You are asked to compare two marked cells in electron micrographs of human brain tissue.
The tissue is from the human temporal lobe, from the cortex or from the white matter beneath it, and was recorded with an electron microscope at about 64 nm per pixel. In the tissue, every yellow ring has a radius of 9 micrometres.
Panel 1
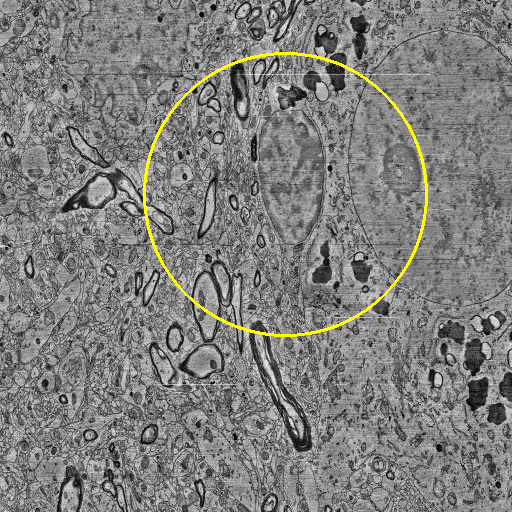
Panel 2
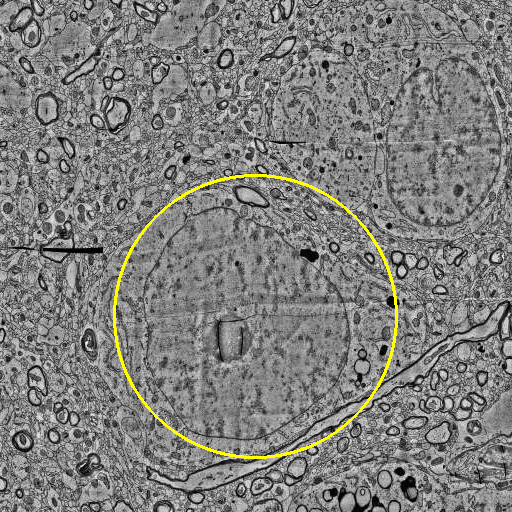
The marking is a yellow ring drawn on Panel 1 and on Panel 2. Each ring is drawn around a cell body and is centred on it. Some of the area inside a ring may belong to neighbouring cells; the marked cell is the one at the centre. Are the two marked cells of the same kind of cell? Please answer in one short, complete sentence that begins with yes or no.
No, the two marked cells are of two kinds.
